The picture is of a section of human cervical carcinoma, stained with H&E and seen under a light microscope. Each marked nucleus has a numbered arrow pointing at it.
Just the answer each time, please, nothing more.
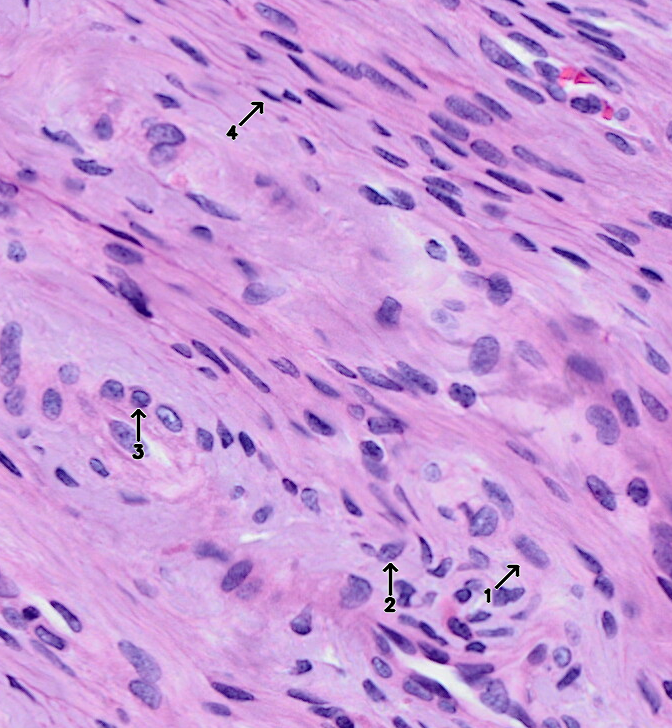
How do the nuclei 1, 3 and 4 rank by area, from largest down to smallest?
1, 3, 4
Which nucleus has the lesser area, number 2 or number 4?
4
